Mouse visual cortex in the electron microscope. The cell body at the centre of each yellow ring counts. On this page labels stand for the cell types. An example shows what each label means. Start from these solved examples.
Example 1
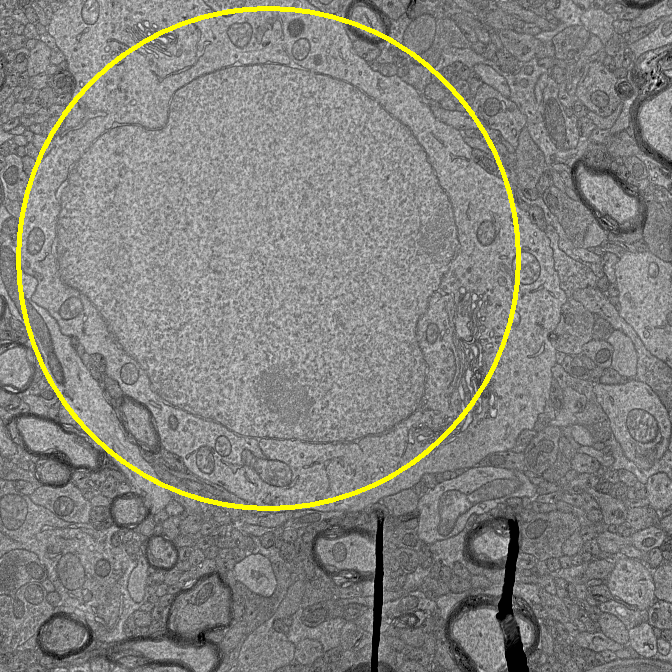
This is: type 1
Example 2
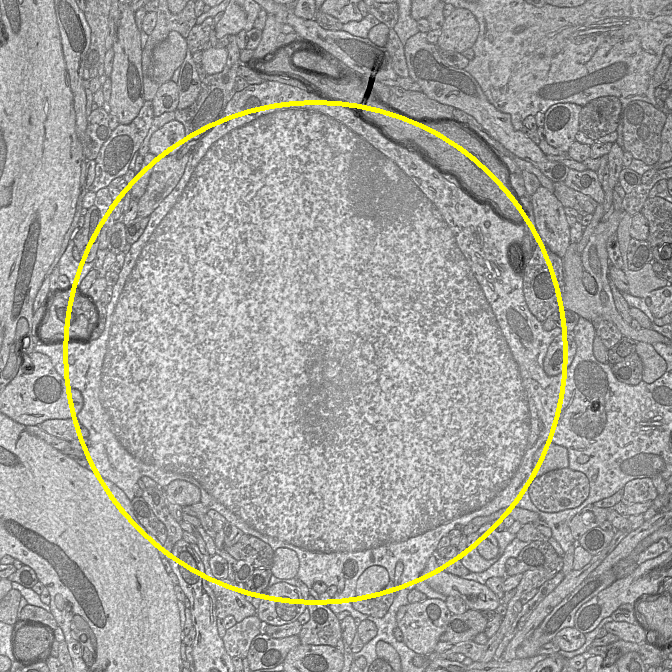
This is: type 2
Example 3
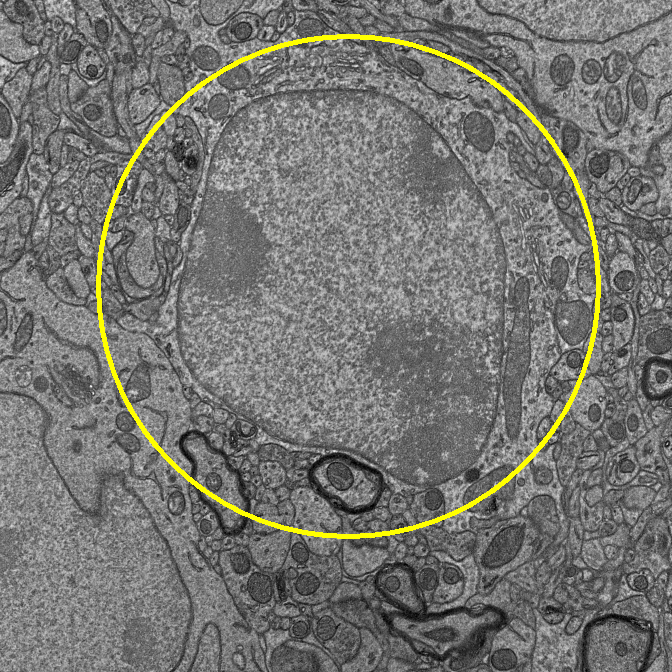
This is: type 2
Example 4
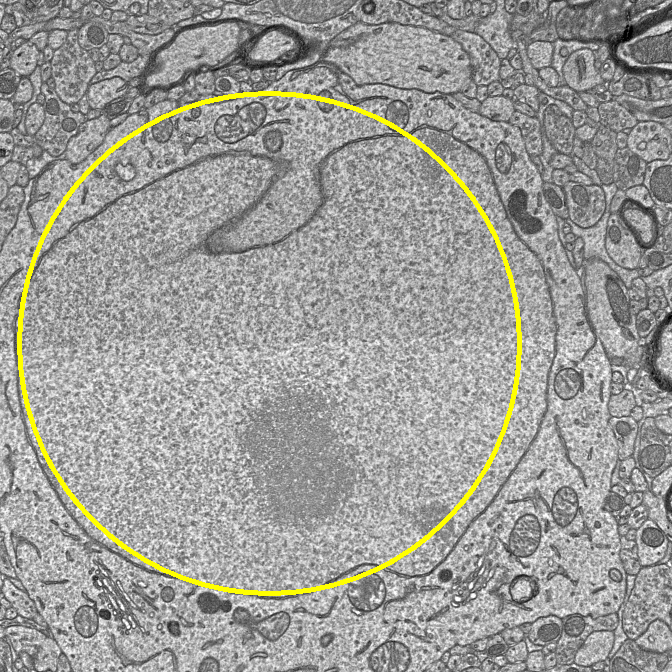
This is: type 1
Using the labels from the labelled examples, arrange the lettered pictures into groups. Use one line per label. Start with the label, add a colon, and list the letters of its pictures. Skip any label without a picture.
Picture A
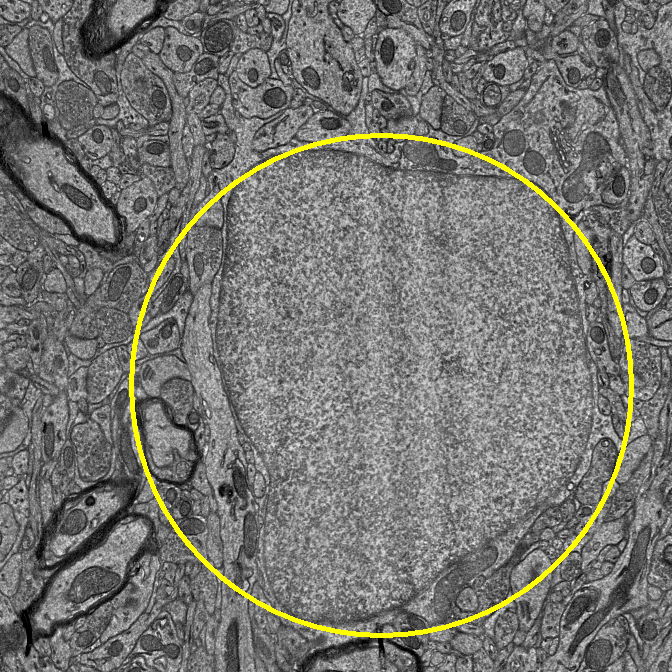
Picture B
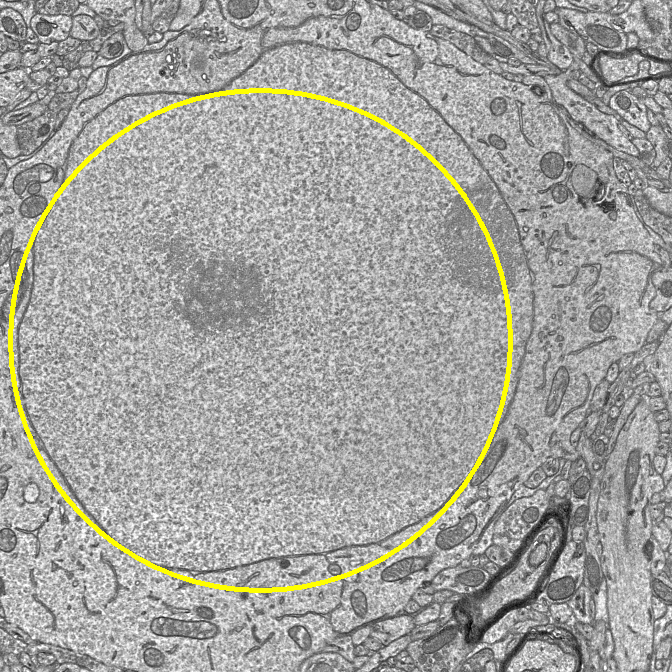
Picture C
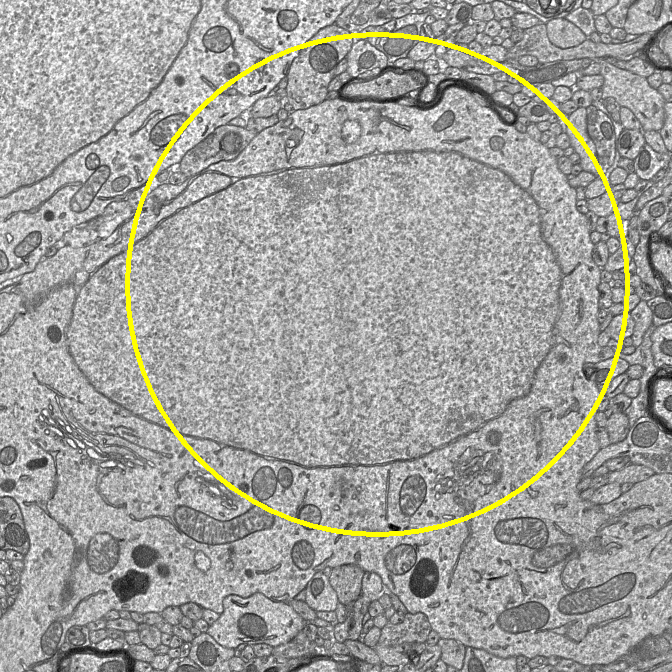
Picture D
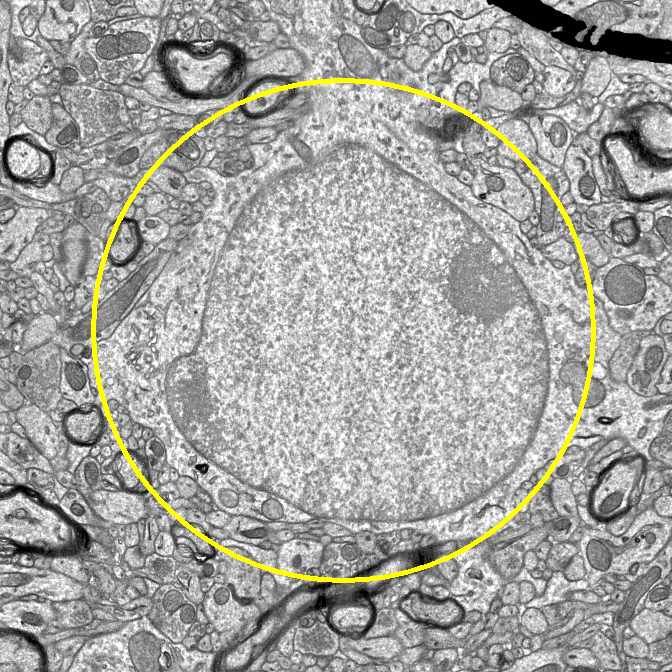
type 1: B, C
type 2: A, D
